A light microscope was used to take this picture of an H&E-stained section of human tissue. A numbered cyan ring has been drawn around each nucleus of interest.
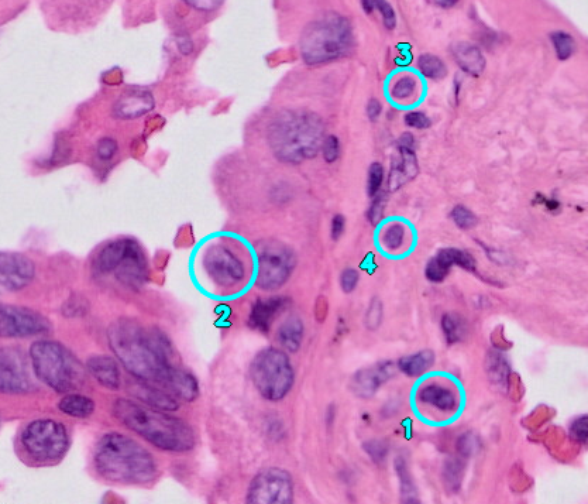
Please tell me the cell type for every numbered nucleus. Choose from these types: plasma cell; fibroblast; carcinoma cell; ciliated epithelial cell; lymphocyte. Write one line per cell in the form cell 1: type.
cell 1: plasma cell
cell 2: carcinoma cell
cell 3: lymphocyte
cell 4: lymphocyte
